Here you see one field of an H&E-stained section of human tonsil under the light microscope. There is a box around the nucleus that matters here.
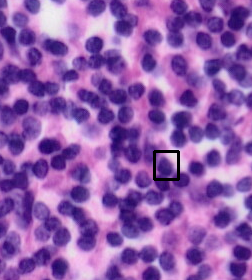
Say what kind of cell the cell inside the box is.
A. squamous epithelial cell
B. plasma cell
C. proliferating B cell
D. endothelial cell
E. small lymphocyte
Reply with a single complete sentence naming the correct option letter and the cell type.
Option E, identifying the cell inside the box as a small lymphocyte, is correct.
